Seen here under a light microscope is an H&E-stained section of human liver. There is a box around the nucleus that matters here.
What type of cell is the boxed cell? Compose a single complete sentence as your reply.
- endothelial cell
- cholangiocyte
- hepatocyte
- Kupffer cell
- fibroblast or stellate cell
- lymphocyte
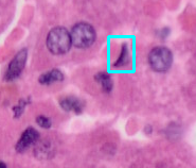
The classification of the boxed cell is as an endothelial cell.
